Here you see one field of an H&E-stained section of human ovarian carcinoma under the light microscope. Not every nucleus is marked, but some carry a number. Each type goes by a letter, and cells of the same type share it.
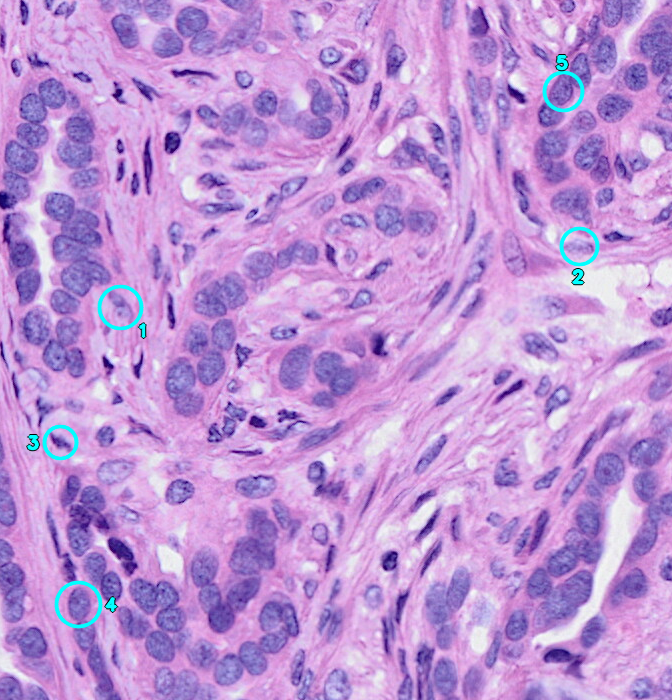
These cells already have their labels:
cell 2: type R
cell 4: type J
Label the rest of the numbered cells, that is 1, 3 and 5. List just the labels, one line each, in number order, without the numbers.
type R
type R
type J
